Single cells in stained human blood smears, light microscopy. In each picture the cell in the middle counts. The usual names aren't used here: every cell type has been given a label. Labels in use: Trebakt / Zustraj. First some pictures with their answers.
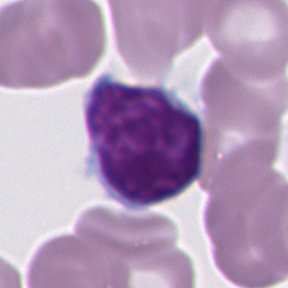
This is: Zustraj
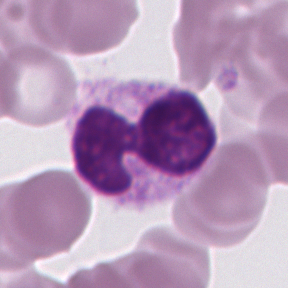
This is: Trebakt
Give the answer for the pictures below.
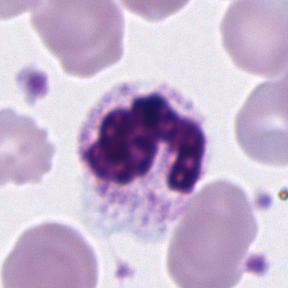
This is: Trebakt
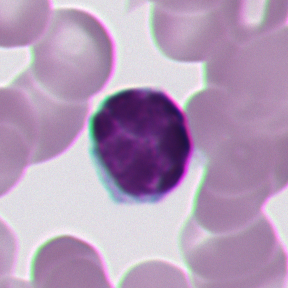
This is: Zustraj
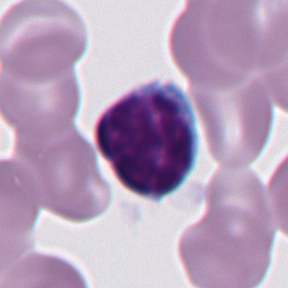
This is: Zustraj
